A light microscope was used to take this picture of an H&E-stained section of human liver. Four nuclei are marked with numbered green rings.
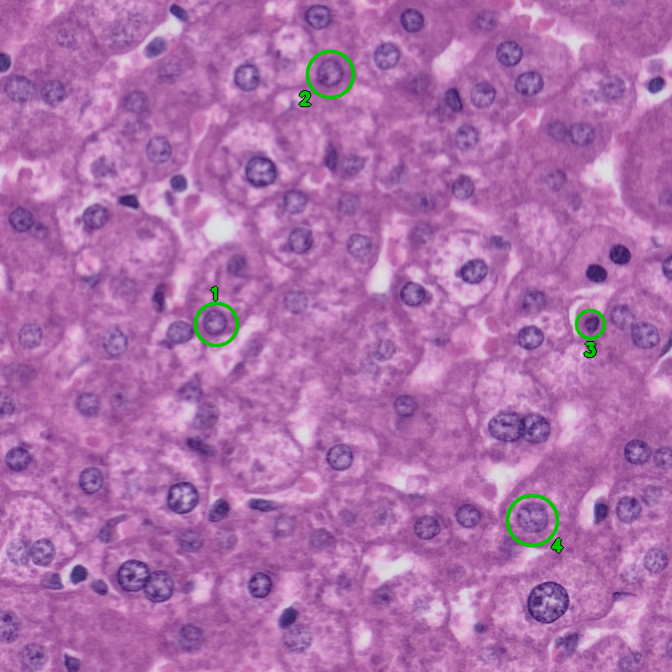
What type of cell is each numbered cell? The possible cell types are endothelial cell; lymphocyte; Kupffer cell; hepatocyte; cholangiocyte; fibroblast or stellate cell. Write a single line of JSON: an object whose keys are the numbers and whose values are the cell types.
{"1": "hepatocyte", "2": "hepatocyte", "3": "Kupffer cell", "4": "hepatocyte"}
